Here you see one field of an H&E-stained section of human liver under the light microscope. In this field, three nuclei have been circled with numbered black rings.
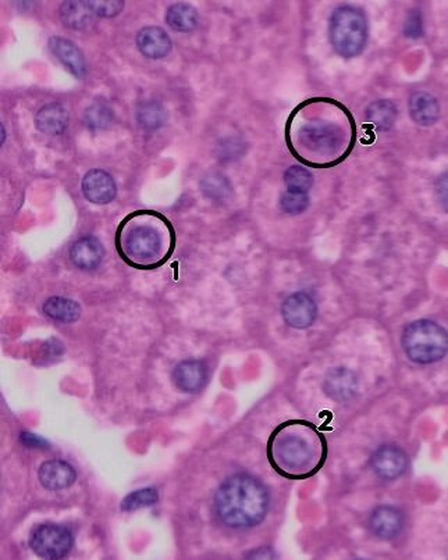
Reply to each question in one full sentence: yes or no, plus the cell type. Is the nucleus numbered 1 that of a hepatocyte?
Yes, cell number 1 is classified as a hepatocyte.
